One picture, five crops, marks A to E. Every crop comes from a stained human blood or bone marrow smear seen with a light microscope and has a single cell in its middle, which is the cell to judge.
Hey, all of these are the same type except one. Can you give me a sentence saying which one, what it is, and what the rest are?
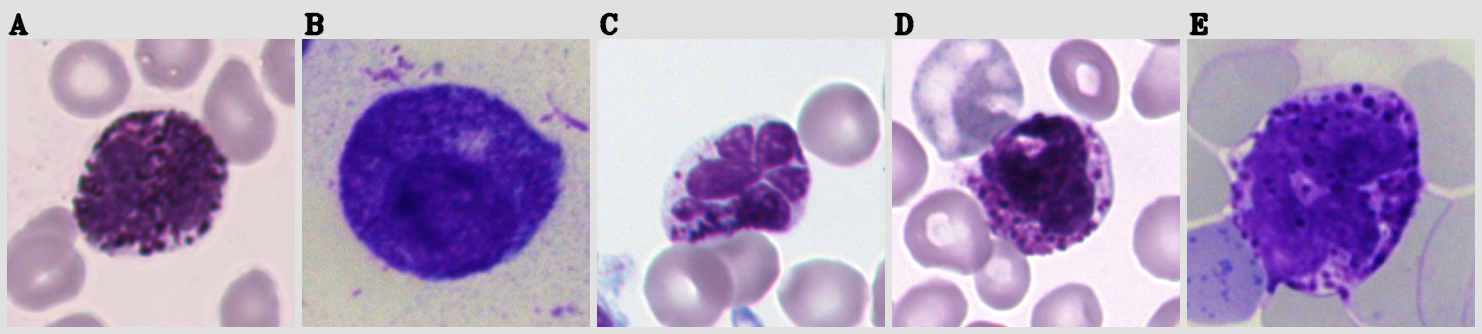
Crop B is the only crop with a promyelocyte, the others all showing basophils.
